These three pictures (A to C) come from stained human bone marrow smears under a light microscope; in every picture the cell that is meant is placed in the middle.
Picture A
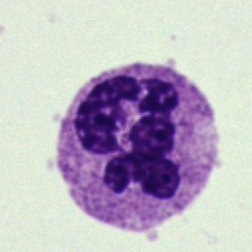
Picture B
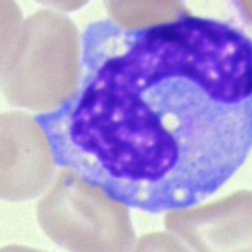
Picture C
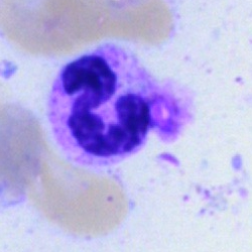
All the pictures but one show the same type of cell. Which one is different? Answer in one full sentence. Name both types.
Unlike the rest, which show segmented neutrophils, picture B shows a monocyte.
